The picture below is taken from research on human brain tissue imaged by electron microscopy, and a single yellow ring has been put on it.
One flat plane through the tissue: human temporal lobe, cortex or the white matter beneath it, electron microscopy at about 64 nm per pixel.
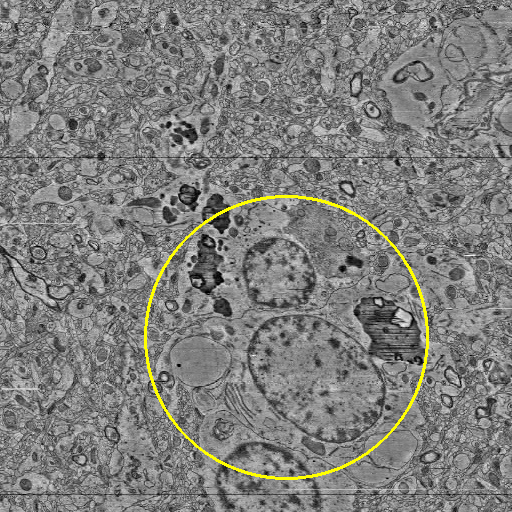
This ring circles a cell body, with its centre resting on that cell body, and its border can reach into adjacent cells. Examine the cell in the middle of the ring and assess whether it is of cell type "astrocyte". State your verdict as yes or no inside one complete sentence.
Yes, in the picture, the cell lying at the centre of the ring is of this type.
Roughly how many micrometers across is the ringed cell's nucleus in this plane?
The nucleus appears roughly 10 by 7 micrometres in this plane.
